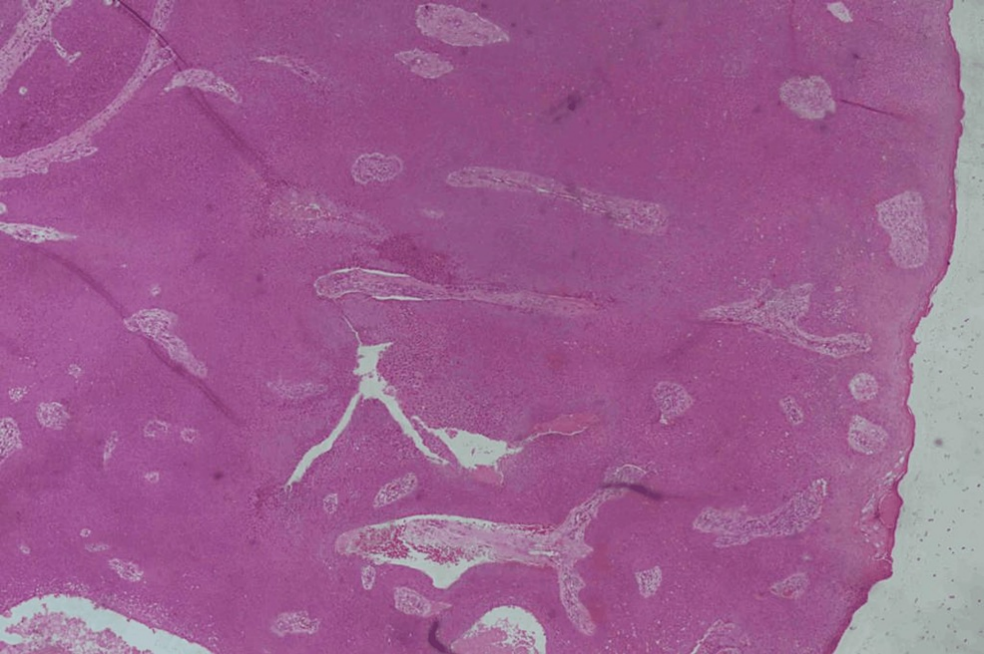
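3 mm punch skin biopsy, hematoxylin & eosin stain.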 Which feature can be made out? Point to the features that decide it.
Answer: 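Dense, uniformly textured pink-purple cellular tissue fills most of the field. The cellular tissue forms broad, interconnecting bands. Pale islands and strands of loose stroma lie between the bands.
Answer: anastomosing bands of epithelial cells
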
